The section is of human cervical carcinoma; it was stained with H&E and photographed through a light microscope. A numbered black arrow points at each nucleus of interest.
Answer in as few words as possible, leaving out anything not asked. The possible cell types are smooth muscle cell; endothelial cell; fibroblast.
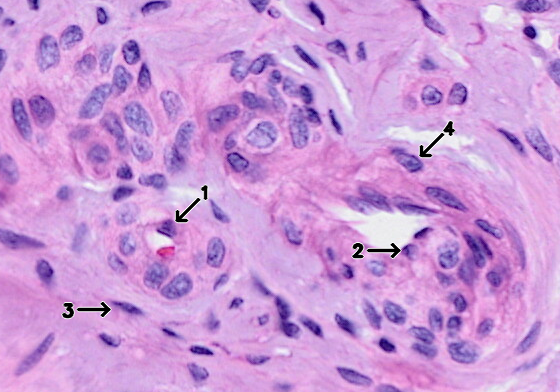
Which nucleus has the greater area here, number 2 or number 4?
4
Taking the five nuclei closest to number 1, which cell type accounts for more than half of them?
smooth muscle cell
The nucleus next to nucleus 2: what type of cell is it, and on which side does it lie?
an endothelial cell, above and to the right of nucleus 2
